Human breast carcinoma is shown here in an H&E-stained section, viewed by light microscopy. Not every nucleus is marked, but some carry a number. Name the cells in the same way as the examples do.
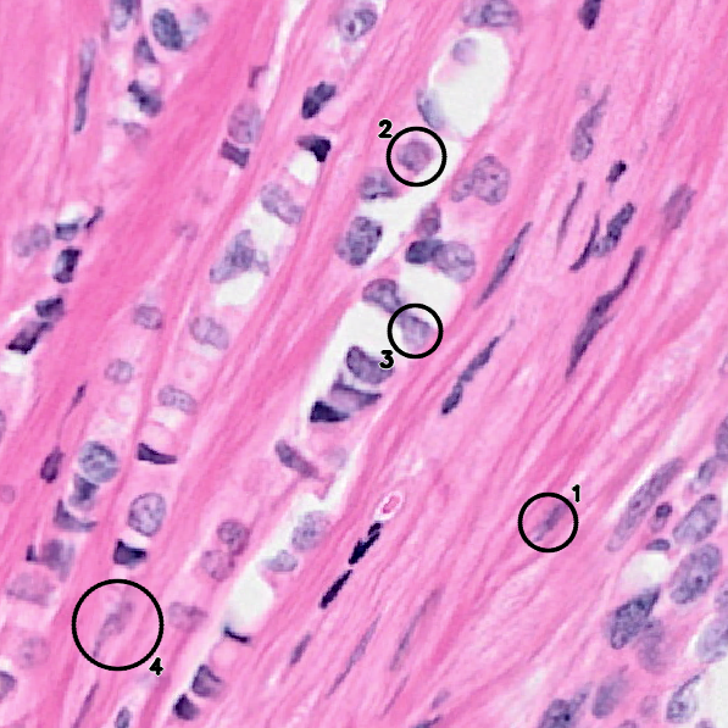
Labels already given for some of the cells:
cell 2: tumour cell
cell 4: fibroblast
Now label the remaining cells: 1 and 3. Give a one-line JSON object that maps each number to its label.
{"1": "fibroblast", "3": "tumour cell"}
